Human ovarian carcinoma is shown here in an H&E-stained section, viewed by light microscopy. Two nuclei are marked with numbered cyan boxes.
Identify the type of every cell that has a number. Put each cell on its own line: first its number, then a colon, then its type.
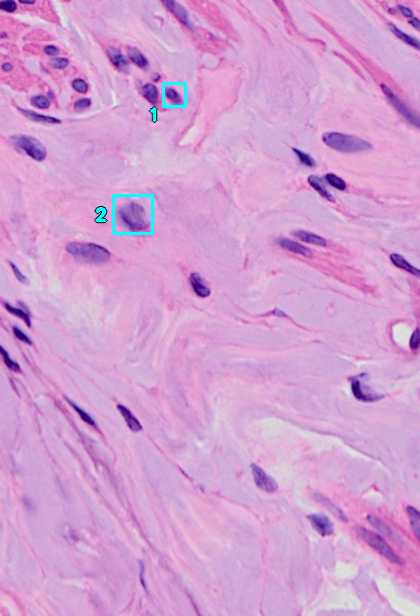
1: smooth muscle cell
2: fibroblast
